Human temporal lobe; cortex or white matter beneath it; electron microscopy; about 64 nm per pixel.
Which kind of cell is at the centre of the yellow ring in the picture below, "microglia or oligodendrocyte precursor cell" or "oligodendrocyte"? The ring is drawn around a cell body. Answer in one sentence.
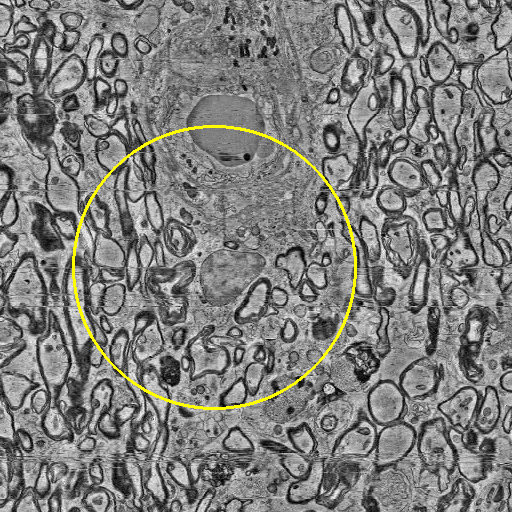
The ring's central cell is a microglial cell or oligodendrocyte precursor cell.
